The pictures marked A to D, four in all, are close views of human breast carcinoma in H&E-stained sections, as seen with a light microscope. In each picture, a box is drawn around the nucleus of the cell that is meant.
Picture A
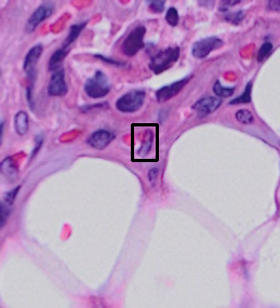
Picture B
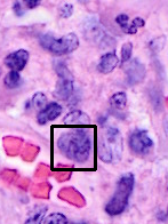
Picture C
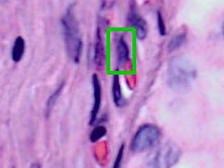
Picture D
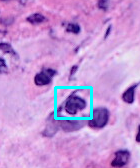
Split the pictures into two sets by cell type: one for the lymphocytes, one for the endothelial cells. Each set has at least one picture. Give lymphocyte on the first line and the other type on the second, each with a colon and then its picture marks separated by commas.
lymphocyte: D
endothelial cell: A, B, C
